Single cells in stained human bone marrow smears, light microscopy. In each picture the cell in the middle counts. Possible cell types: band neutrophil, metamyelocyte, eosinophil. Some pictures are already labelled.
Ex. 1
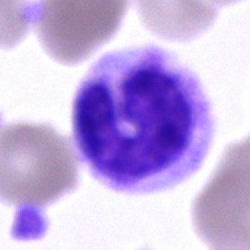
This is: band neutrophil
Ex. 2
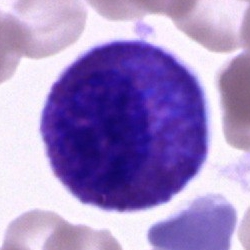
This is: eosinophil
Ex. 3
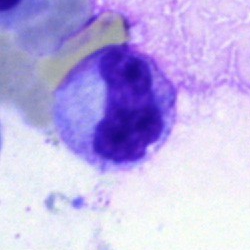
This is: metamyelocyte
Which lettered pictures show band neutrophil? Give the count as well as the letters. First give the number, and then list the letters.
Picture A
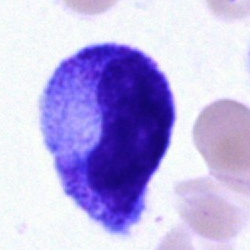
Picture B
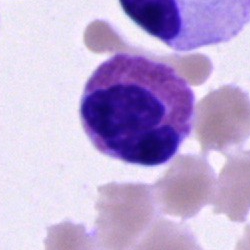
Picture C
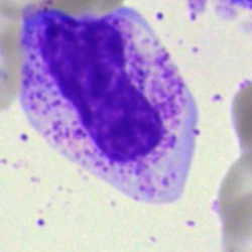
0, none of them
